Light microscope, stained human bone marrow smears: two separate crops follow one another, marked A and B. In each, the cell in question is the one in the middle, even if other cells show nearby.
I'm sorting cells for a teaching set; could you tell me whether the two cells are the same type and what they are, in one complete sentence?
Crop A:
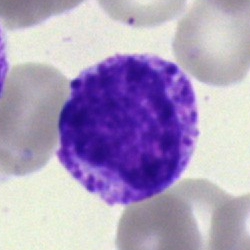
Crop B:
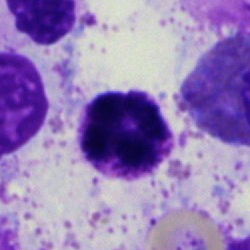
Yes, the cells that the two crops centre on are basophils.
